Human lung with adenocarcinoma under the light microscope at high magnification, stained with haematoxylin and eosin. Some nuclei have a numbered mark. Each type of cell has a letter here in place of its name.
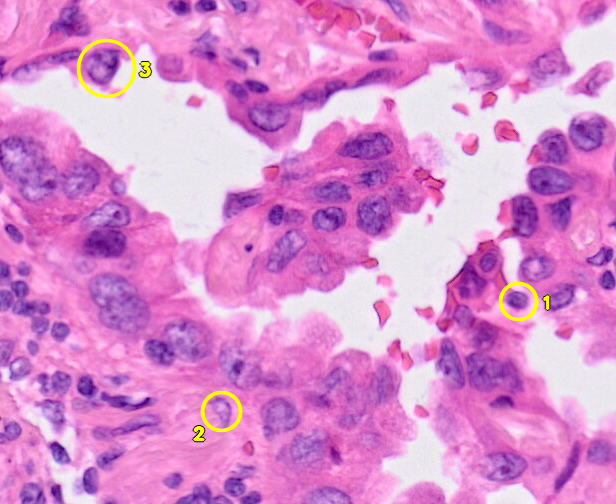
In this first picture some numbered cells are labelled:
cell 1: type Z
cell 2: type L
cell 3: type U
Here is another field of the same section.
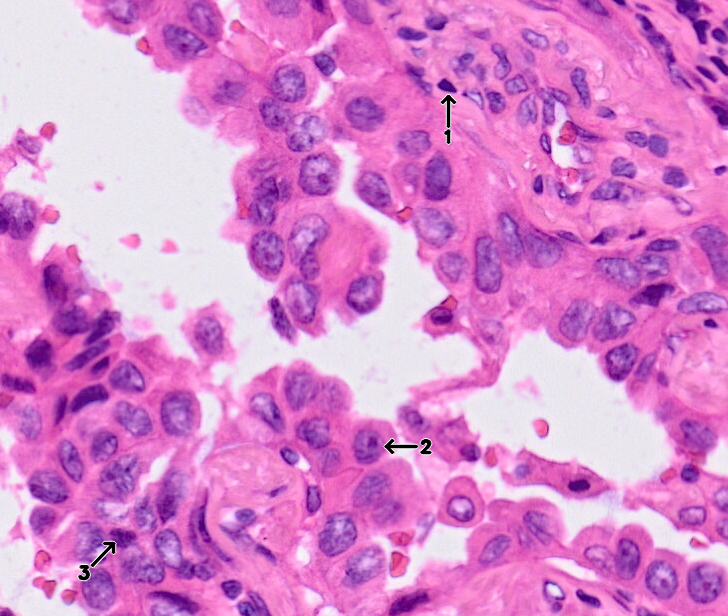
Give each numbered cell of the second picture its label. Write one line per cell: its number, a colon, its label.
1: type Z
2: type U
3: type U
